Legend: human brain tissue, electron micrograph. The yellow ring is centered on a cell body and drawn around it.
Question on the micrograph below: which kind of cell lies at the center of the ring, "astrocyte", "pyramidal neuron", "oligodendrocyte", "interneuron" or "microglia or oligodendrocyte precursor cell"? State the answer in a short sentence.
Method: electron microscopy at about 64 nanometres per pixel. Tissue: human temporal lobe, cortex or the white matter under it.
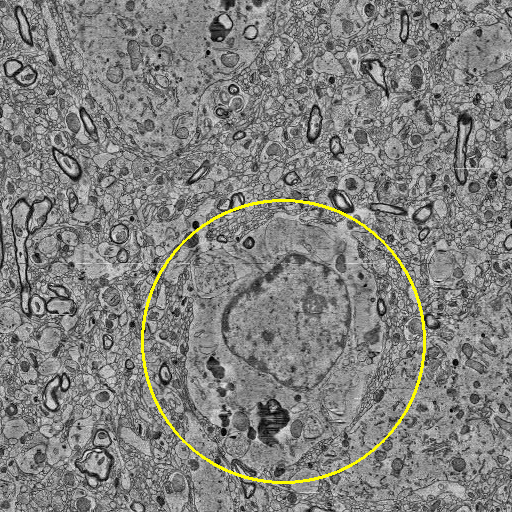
At the center of the ring lies an astrocyte.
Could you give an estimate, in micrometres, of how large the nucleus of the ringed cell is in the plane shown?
About 9 micrometres across in this plane, for the nucleus.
